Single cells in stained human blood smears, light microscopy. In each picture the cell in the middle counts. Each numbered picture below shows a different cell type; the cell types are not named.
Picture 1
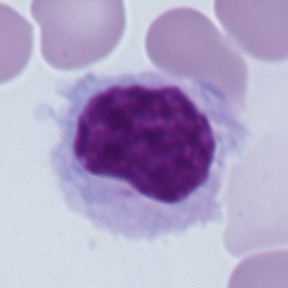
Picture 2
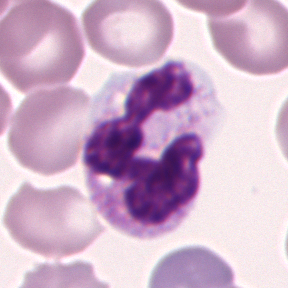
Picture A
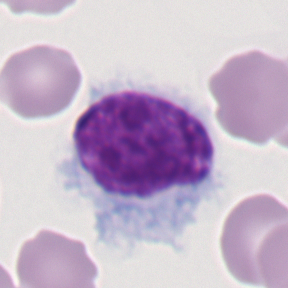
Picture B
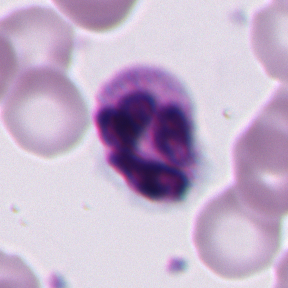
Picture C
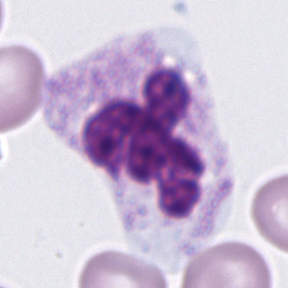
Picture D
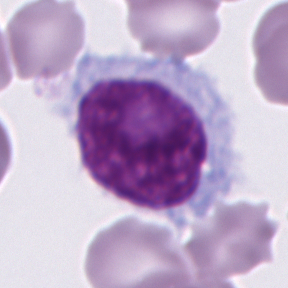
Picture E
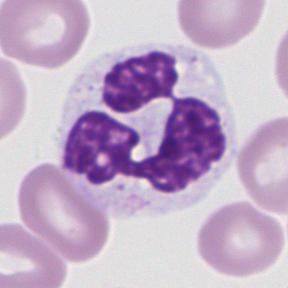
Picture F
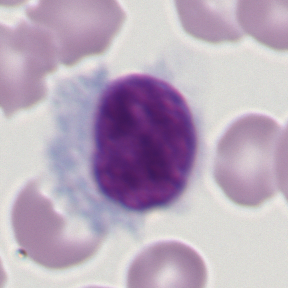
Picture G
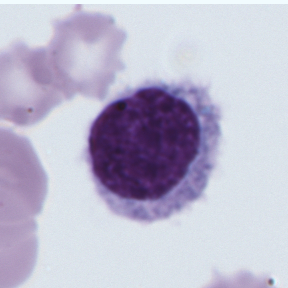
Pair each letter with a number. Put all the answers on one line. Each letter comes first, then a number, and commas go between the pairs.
A 1, B 2, C 2, D 1, E 2, F 1, G 1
